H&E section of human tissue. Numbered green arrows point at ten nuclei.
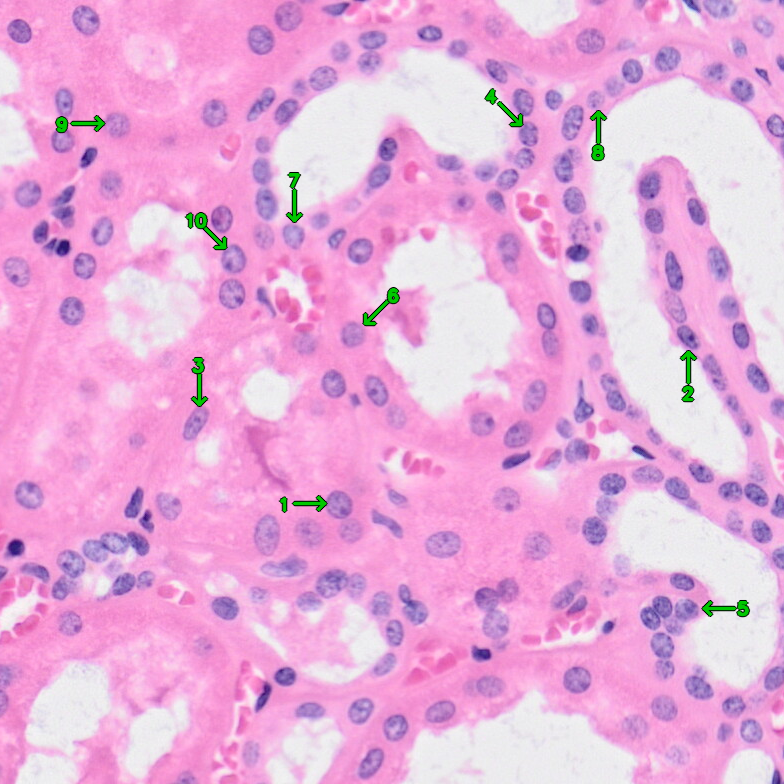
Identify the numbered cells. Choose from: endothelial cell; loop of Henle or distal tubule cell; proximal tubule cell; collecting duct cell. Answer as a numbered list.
1. proximal tubule cell
2. collecting duct cell
3. proximal tubule cell
4. collecting duct cell
5. collecting duct cell
6. proximal tubule cell
7. collecting duct cell
8. collecting duct cell
9. proximal tubule cell
10. proximal tubule cell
